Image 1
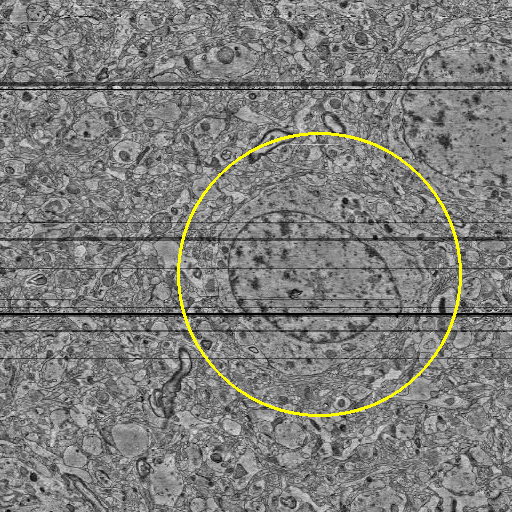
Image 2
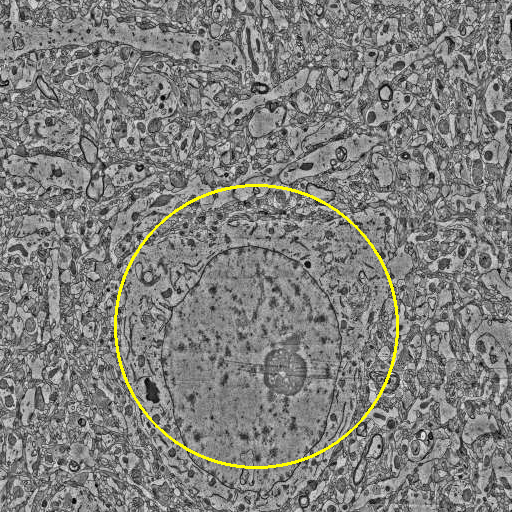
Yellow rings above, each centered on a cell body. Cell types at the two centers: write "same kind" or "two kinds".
same kind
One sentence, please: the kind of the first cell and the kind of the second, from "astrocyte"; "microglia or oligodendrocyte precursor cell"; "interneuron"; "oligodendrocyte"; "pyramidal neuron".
Each of the two pictures has a pyramidal neuron at the ring centre.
